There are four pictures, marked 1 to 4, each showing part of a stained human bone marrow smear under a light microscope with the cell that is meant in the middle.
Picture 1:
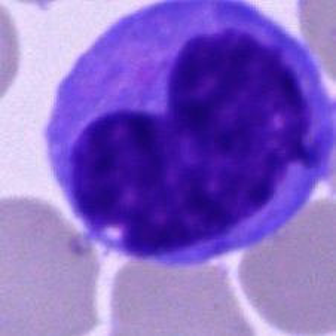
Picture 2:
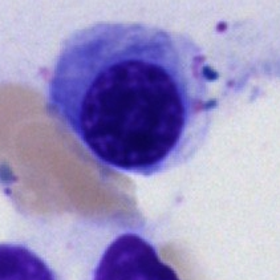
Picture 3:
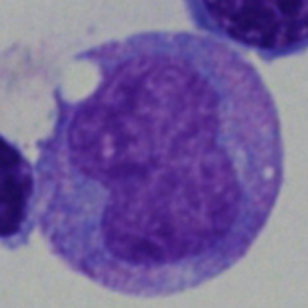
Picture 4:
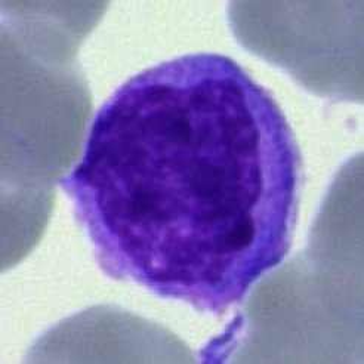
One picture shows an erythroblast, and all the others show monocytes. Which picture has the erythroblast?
2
